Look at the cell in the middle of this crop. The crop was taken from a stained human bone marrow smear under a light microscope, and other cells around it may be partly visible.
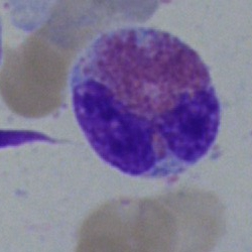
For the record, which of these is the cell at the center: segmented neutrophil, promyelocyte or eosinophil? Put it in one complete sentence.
In this crop, the cell at the very middle is an eosinophil.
